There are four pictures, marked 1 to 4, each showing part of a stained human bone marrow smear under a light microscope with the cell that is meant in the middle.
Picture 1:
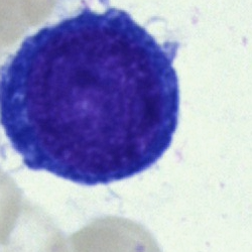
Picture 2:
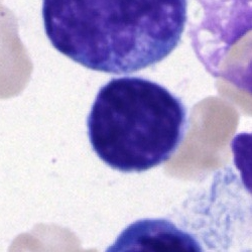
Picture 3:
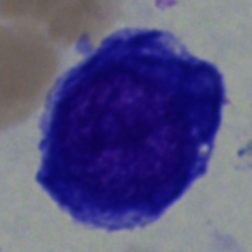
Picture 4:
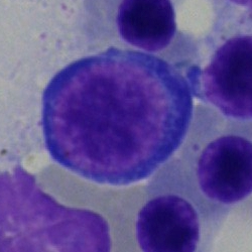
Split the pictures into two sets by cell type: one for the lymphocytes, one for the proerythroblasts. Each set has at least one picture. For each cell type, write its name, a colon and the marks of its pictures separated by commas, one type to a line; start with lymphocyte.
lymphocyte: 2
proerythroblast: 1, 3, 4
